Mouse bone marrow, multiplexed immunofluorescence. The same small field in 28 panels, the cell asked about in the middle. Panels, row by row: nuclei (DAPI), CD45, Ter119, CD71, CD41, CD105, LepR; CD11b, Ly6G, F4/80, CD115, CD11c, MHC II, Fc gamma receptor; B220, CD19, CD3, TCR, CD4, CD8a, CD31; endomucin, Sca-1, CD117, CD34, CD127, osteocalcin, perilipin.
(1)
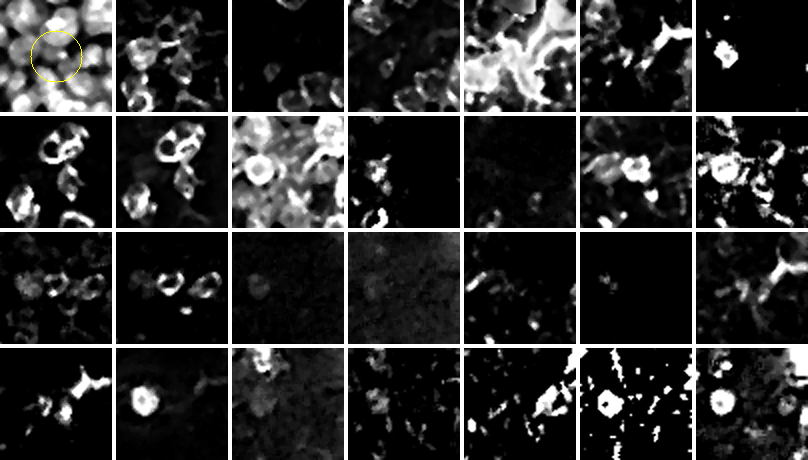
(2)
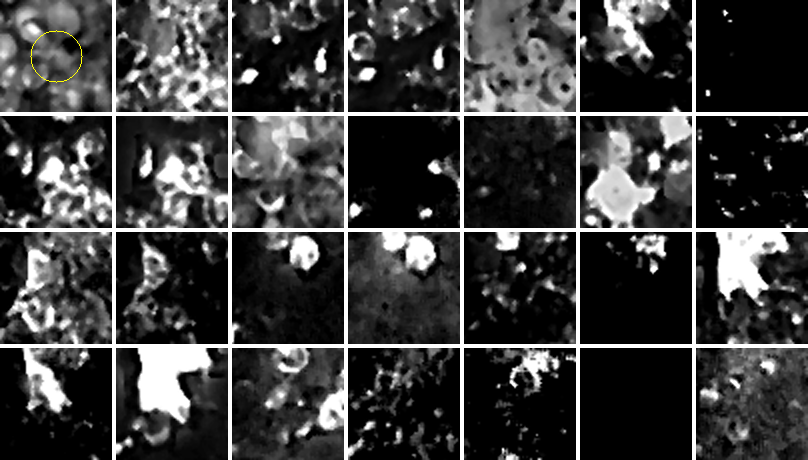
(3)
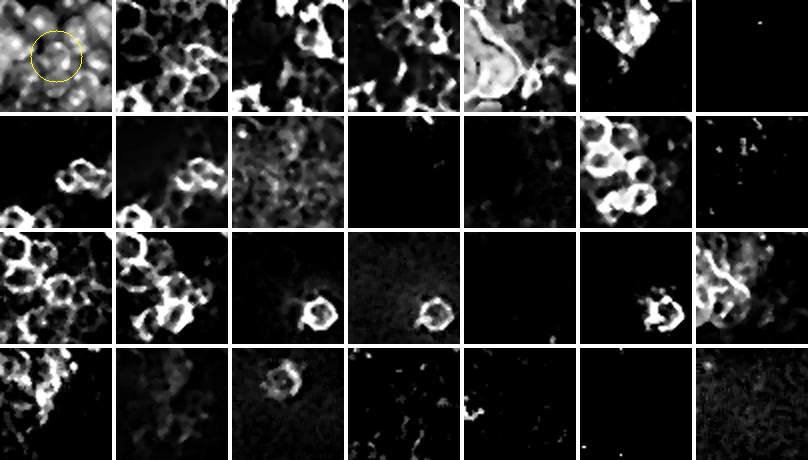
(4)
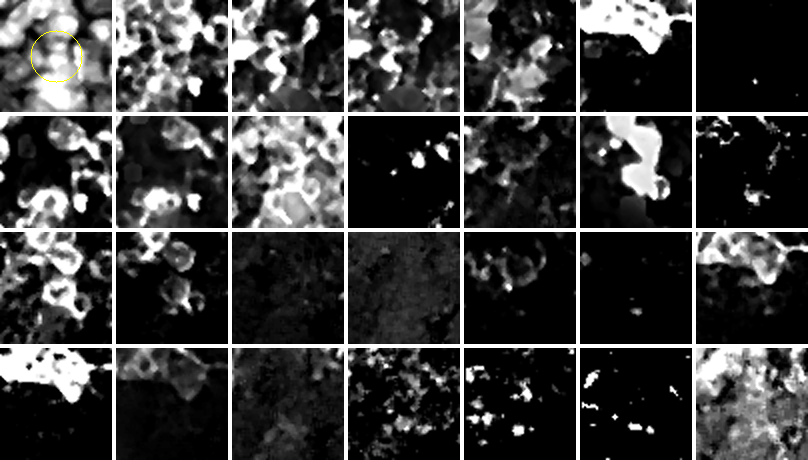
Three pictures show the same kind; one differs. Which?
Picture 2: a megakaryocyte progenitor, while the others are B cells.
